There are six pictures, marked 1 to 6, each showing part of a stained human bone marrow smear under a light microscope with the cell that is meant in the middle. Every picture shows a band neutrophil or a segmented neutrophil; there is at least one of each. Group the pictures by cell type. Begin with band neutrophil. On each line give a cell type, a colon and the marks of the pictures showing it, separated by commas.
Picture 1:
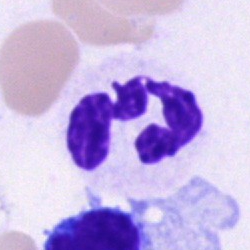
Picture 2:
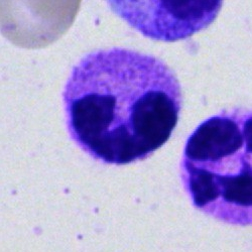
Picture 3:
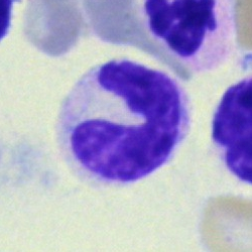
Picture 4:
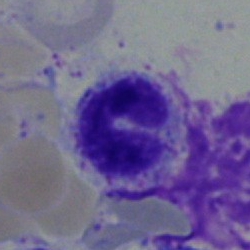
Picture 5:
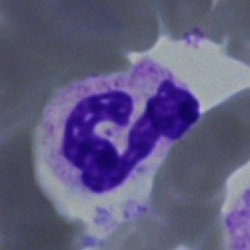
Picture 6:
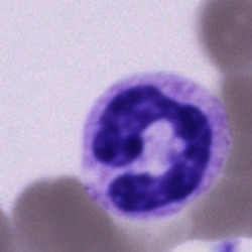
band neutrophil: 3, 4
segmented neutrophil: 1, 2, 5, 6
